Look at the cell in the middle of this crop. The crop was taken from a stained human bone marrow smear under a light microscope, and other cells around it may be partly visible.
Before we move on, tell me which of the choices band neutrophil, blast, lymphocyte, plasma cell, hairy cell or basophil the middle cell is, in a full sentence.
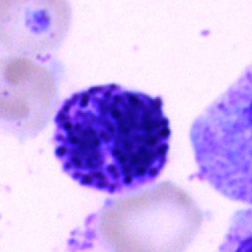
The cell that lies at the centre of the crop is a basophil.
